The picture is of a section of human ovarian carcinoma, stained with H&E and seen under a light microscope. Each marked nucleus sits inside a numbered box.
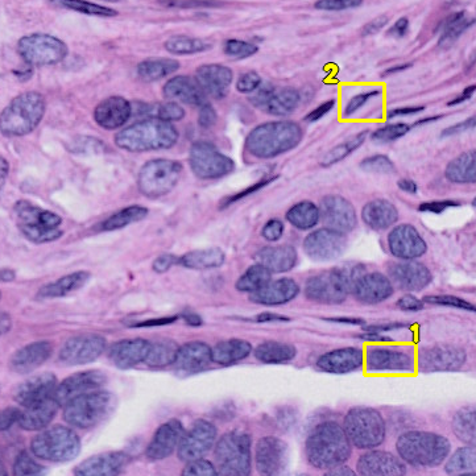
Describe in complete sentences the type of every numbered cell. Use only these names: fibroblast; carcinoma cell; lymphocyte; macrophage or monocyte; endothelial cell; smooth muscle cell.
Cell 1 is a carcinoma cell. Cell 2 is a fibroblast.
